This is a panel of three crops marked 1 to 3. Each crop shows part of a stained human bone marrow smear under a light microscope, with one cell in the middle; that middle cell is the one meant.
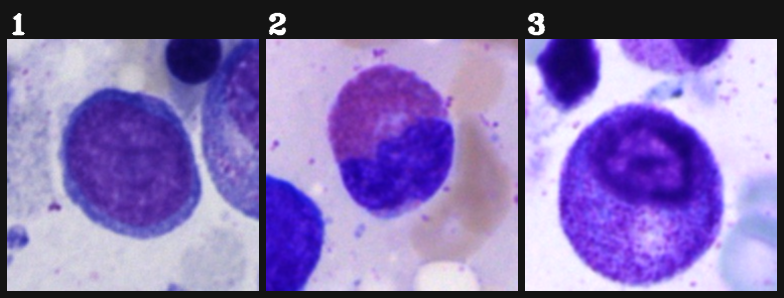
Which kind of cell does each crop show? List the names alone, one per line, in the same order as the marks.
blast
eosinophil
myelocyte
